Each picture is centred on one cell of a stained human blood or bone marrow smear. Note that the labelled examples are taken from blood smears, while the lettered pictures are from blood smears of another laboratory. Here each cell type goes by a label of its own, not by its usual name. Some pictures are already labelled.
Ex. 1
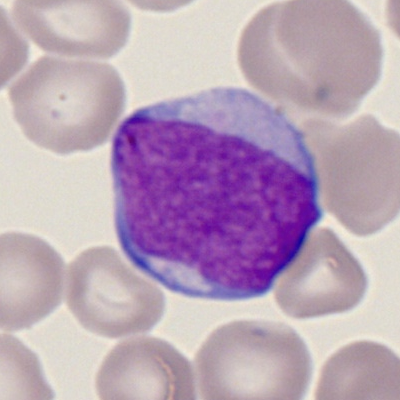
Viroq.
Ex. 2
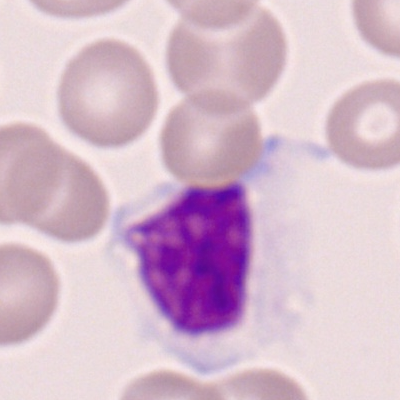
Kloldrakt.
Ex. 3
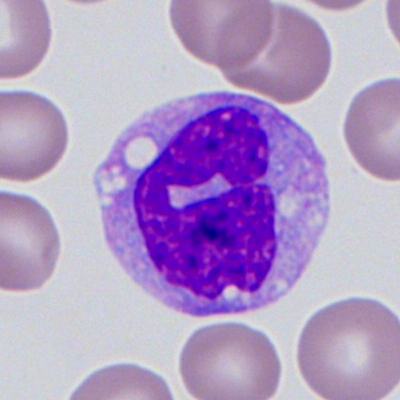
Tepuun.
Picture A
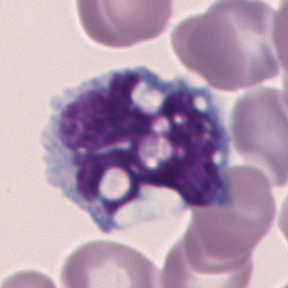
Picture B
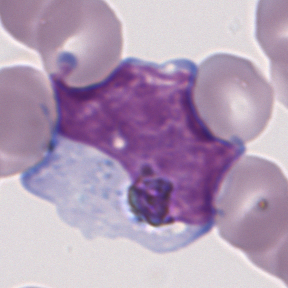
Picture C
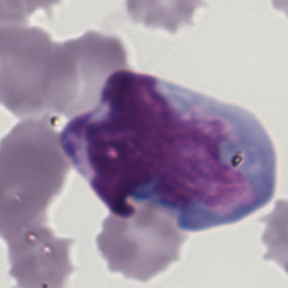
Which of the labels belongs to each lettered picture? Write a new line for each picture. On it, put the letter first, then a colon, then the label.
A: Tepuun.
B: Viroq.
C: Viroq.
